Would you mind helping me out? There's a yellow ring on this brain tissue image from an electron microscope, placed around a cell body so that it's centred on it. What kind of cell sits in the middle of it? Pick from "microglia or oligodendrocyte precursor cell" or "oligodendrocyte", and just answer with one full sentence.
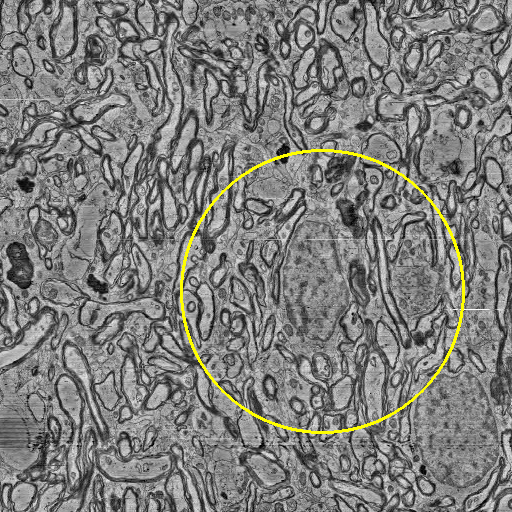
What sits in the middle of that yellow ring is an oligodendrocyte, from your choices.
